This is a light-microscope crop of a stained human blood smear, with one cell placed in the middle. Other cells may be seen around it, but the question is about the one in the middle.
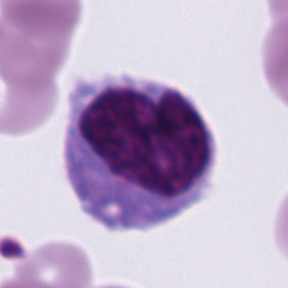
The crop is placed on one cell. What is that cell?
monocyte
